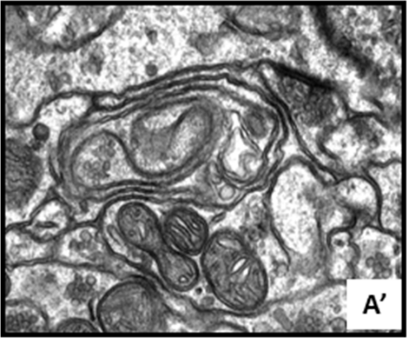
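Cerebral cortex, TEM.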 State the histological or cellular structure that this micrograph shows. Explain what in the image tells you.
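Fragments of membranes surrounding remnants of cellular structures. Multiple parallel membrane lamellae curve around a central rounded profile. The enclosed material resembles remnants of organelles.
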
